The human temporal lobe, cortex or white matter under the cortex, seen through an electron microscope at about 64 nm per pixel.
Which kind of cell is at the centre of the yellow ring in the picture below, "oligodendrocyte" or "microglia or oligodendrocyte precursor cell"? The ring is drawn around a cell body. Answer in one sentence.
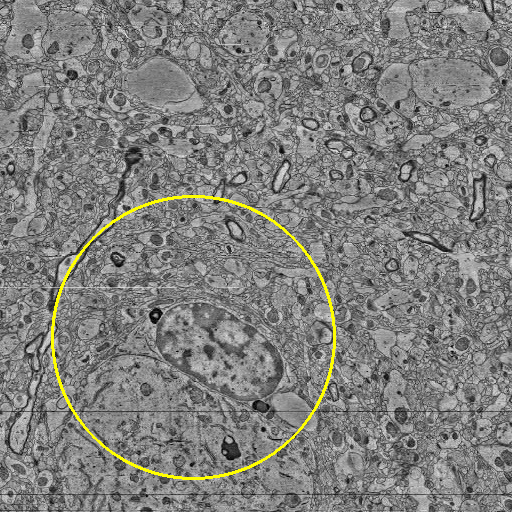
The ring's central cell is a microglial cell or oligodendrocyte precursor cell.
